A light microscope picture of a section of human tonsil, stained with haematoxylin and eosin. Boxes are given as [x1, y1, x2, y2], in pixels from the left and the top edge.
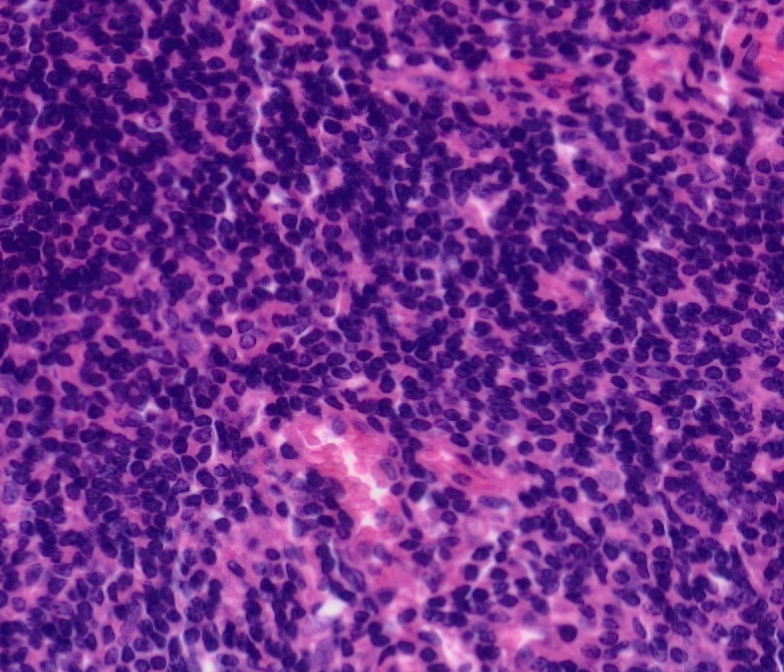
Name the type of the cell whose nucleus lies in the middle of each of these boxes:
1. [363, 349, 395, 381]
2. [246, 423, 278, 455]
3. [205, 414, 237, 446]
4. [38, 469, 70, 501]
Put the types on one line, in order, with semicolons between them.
small lymphocyte; endothelial cell; small lymphocyte; small lymphocyte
